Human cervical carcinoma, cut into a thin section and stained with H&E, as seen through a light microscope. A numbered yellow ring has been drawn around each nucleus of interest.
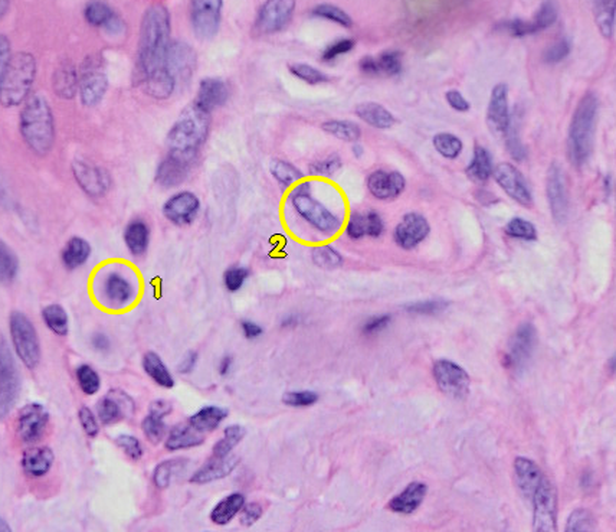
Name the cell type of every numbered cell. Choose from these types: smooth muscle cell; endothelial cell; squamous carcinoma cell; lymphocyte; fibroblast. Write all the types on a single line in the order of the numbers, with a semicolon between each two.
lymphocyte; endothelial cell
